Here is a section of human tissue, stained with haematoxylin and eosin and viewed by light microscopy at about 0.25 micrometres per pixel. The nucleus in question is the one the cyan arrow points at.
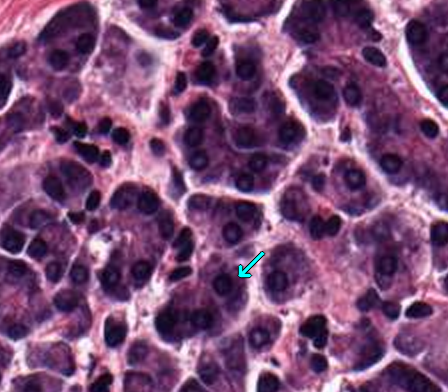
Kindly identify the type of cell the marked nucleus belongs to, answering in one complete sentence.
A nucleus of a pancreatic acinar cell is the one that is marked.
